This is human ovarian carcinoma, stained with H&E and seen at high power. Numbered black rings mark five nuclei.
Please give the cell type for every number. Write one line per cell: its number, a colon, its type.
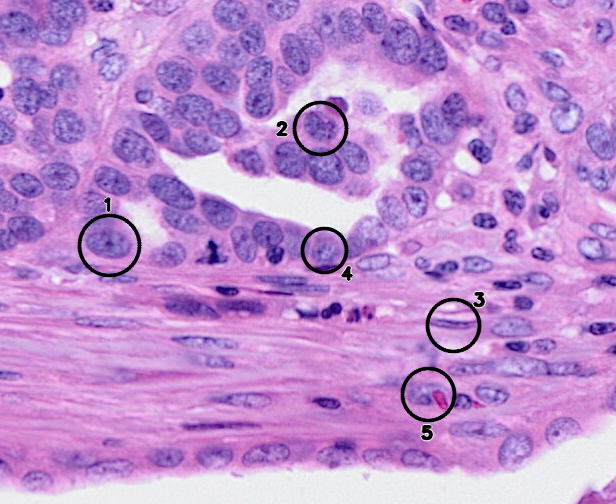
1: carcinoma cell
2: carcinoma cell
3: fibroblast
4: carcinoma cell
5: endothelial cell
